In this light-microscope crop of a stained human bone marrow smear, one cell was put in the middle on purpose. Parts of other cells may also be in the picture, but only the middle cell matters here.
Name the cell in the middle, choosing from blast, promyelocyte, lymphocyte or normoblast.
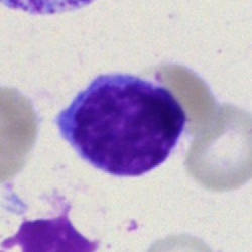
lymphocyte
